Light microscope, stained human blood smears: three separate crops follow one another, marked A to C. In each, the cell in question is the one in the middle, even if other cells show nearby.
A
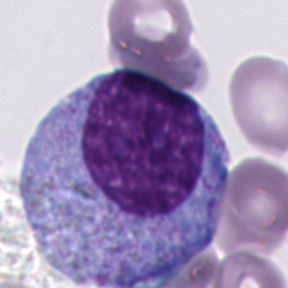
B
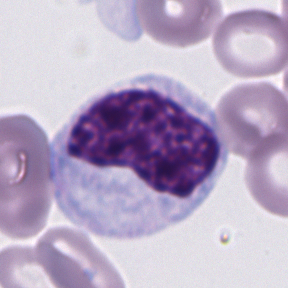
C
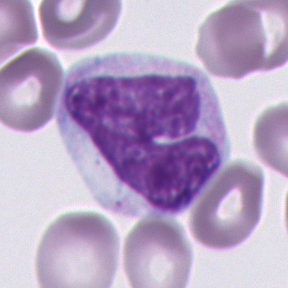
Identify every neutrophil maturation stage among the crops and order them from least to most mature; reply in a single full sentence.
The sequence of maturation runs crop A (a promyelocyte), crop B (a metamyelocyte) and crop C (a band neutrophil), from least to most mature.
